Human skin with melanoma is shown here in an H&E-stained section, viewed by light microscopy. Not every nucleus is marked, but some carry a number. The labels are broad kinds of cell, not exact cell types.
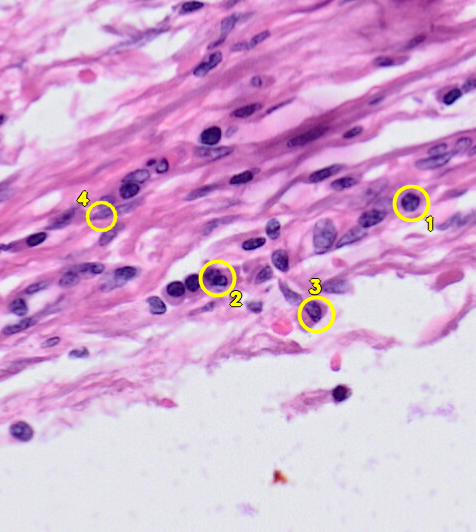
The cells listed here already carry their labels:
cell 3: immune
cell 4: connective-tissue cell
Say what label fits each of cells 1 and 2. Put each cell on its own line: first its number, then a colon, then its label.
1: immune
2: immune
